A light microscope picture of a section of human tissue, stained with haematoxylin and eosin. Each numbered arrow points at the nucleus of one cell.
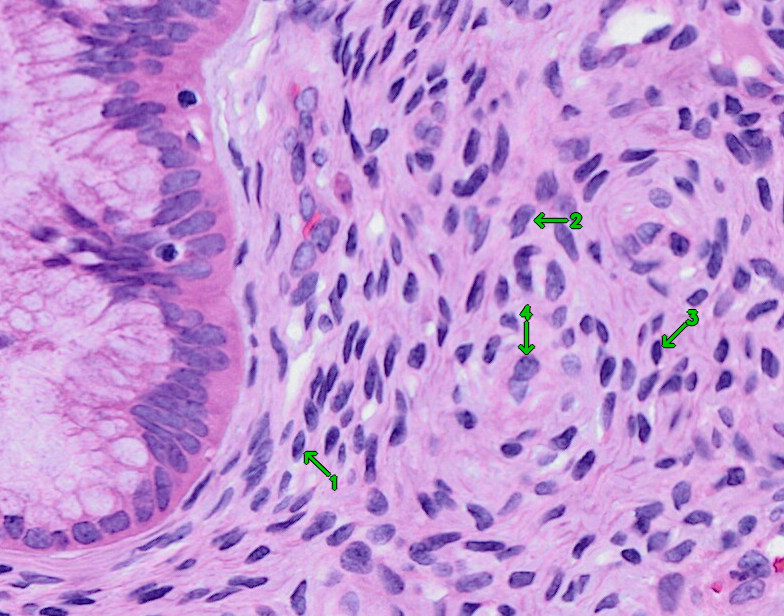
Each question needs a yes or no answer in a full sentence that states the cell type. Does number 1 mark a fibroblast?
Yes, the cell tagged with the number 1 is a fibroblast.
